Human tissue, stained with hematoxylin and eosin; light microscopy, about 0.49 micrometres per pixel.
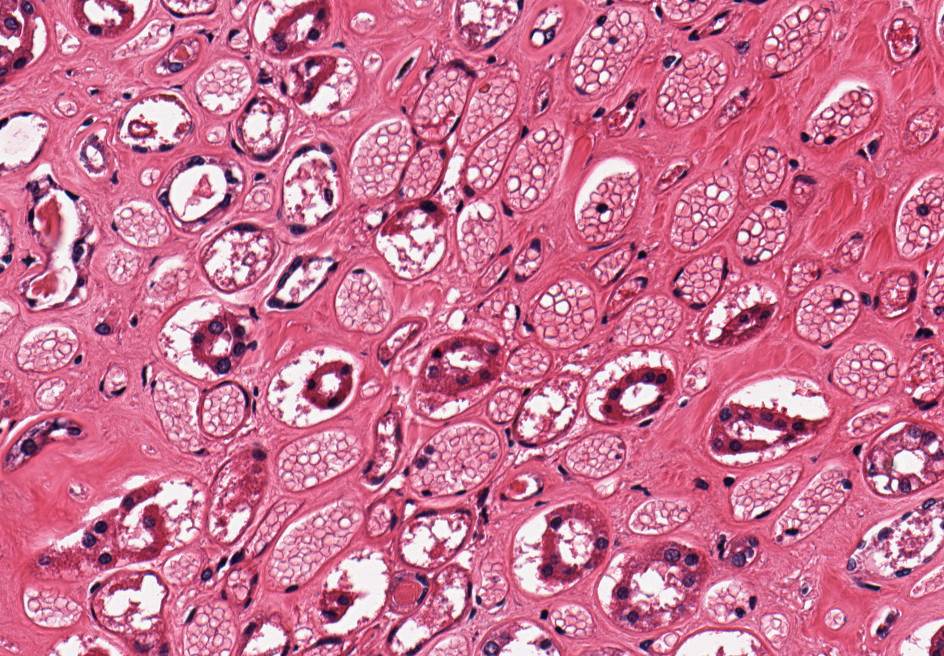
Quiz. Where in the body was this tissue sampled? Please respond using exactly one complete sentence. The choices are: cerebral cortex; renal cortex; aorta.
The tissue fragment was taken from the renal cortex.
